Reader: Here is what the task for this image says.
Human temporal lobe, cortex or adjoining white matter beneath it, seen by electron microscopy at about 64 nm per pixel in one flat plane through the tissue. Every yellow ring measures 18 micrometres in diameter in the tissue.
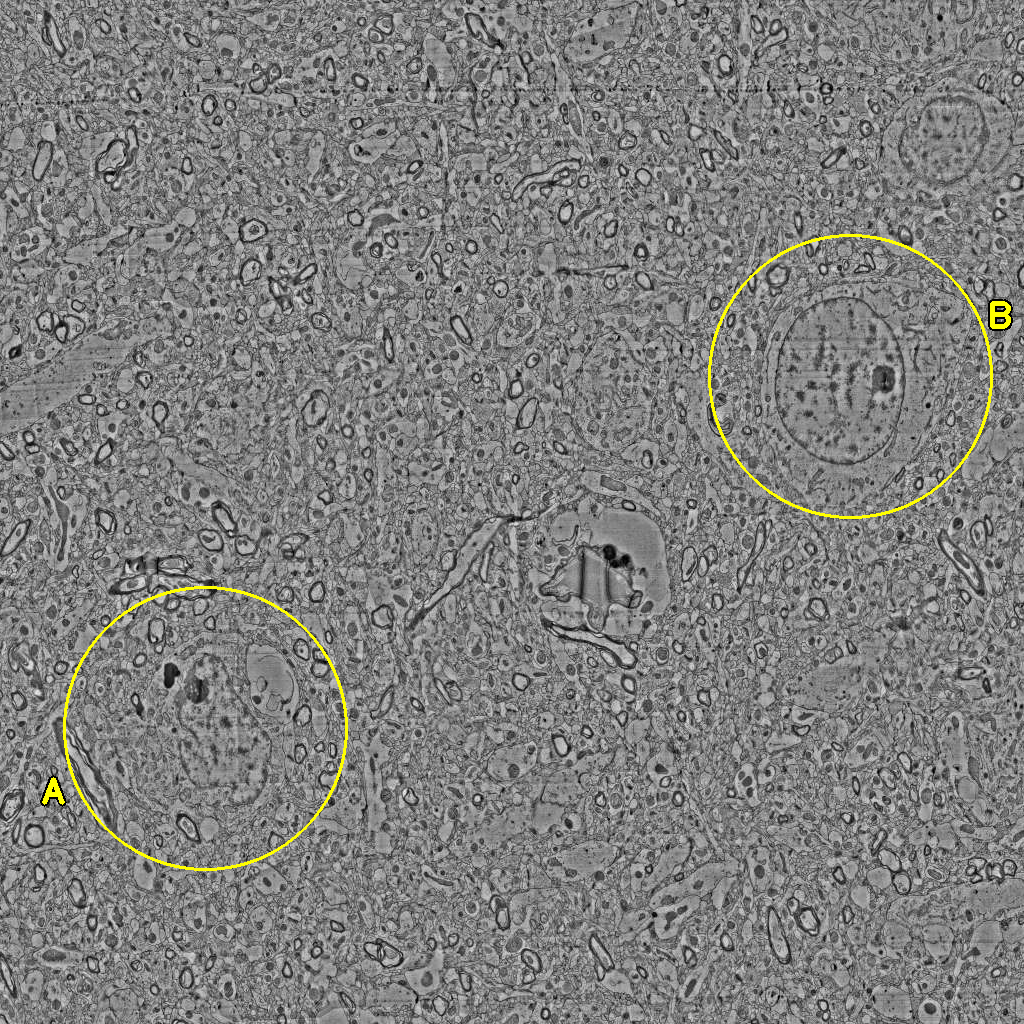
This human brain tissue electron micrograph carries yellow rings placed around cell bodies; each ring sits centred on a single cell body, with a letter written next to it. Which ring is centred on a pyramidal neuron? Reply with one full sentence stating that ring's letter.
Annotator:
Letter B marks the ring whose centre holds the cell asked for.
